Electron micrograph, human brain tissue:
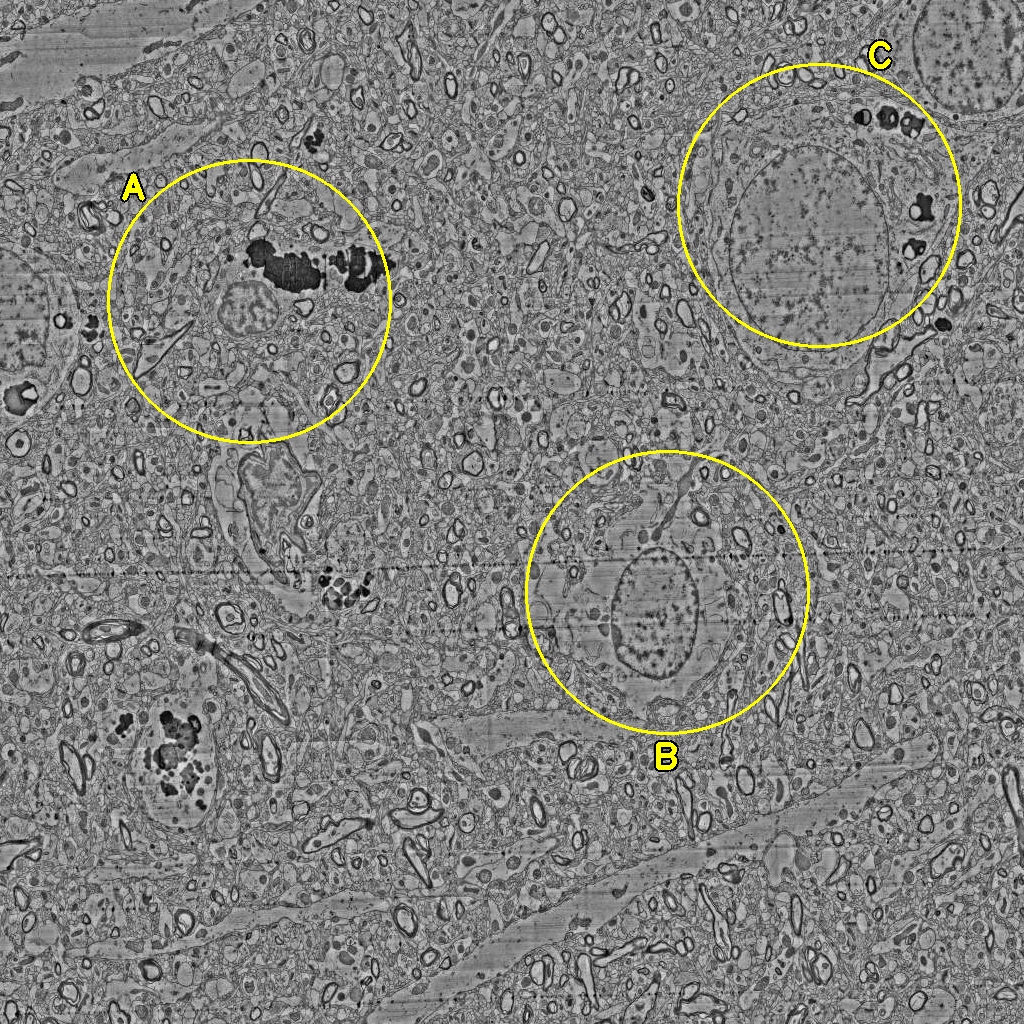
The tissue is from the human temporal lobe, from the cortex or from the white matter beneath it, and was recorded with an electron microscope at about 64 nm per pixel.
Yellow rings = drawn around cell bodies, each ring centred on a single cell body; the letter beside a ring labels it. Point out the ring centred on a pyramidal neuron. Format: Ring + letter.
Ring C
